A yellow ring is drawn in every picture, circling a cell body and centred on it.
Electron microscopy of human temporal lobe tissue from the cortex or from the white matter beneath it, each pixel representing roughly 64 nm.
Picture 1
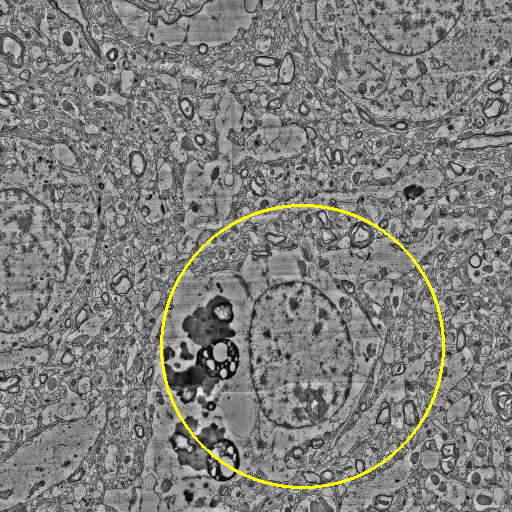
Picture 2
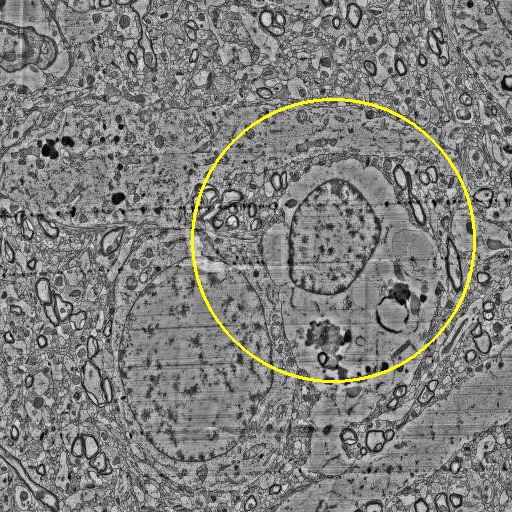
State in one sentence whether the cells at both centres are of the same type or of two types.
The cells at the two ring centres, one per picture, are of the same type.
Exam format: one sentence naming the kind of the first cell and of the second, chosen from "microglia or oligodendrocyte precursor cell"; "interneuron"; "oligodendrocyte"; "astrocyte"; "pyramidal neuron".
The cell at the ring centre is an astrocyte in both pictures.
